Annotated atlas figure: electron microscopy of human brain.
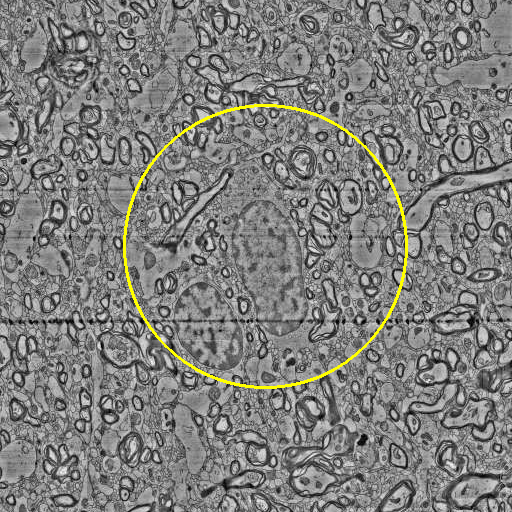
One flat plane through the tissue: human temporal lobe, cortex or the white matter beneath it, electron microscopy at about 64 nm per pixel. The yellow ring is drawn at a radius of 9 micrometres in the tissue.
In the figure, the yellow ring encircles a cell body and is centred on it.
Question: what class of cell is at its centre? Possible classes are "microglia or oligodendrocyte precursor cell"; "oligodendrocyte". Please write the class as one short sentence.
The yellow ring is drawn around an oligodendrocyte.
